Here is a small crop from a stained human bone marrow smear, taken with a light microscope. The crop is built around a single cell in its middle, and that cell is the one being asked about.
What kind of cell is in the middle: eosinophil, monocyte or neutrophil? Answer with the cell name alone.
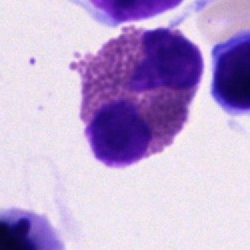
eosinophil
